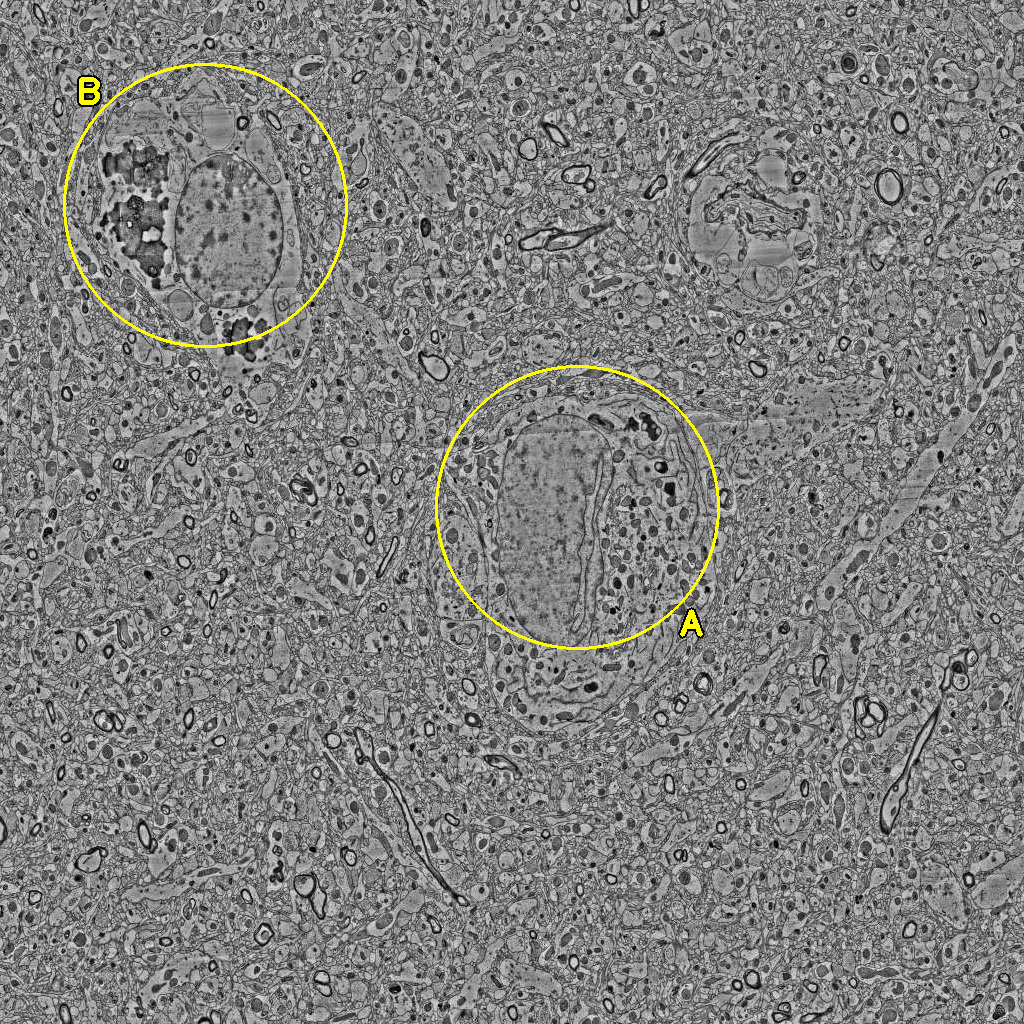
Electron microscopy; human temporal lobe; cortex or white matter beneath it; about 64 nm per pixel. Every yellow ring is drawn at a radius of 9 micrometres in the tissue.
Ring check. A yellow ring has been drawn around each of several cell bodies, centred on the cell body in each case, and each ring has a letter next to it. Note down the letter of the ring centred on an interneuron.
A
